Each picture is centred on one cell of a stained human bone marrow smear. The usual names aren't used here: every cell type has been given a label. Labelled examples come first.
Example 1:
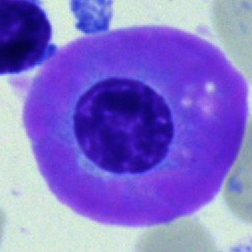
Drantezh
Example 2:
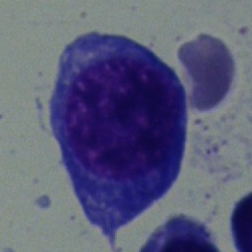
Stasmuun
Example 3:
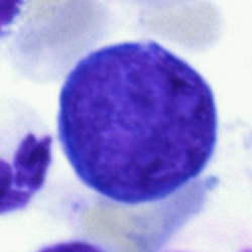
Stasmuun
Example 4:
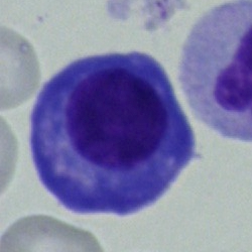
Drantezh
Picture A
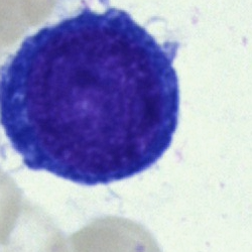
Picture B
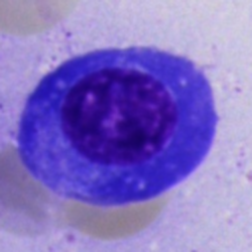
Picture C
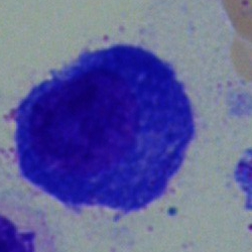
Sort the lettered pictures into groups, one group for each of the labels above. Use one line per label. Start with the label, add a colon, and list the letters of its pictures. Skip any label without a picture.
Drantezh: B, C
Stasmuun: A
